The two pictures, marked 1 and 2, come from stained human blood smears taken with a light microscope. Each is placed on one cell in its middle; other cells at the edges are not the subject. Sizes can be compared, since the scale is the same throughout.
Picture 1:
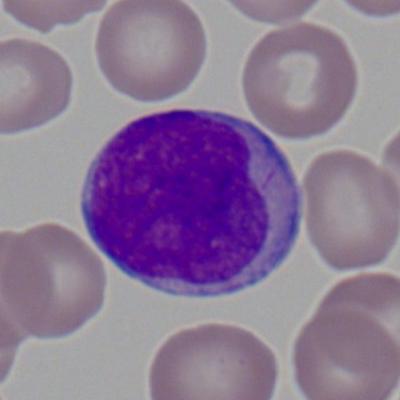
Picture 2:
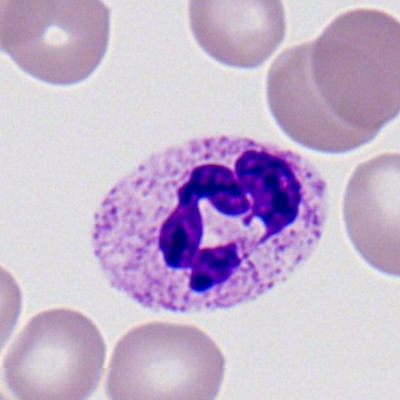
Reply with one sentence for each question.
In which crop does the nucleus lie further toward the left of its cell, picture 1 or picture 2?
Seen within its cell, the nucleus in picture 1 lies further toward the left.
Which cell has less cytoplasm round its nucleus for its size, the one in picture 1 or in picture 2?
It is the cell in picture 1 that is filled more by its nucleus.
